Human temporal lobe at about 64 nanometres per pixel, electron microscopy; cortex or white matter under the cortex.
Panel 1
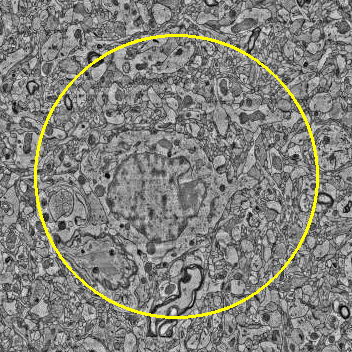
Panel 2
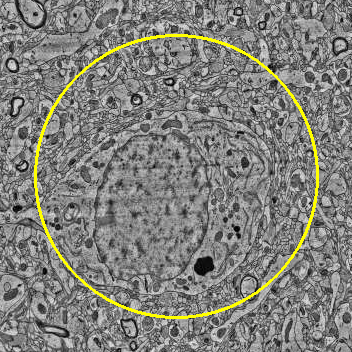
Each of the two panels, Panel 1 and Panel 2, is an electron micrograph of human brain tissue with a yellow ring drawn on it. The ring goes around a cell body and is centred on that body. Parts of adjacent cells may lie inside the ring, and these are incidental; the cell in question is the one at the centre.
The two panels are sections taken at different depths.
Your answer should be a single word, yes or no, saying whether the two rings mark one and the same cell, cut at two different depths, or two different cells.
no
